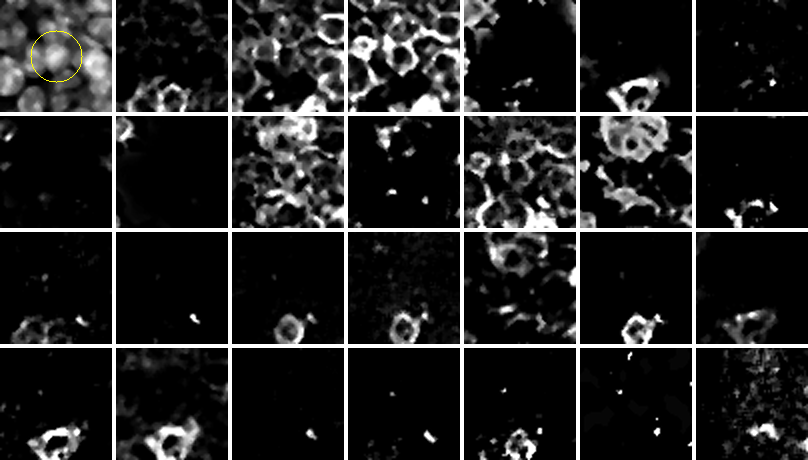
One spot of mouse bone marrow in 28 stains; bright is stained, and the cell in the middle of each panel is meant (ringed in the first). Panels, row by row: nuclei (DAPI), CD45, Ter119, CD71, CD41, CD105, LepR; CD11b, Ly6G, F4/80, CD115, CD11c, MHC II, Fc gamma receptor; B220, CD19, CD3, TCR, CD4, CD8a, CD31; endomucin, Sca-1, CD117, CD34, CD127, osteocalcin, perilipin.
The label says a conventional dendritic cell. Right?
Wrong: this is an erythroblast.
